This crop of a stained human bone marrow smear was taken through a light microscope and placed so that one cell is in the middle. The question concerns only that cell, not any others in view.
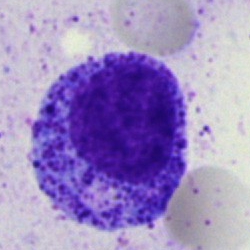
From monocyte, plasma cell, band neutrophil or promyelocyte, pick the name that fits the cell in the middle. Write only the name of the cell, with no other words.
promyelocyte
